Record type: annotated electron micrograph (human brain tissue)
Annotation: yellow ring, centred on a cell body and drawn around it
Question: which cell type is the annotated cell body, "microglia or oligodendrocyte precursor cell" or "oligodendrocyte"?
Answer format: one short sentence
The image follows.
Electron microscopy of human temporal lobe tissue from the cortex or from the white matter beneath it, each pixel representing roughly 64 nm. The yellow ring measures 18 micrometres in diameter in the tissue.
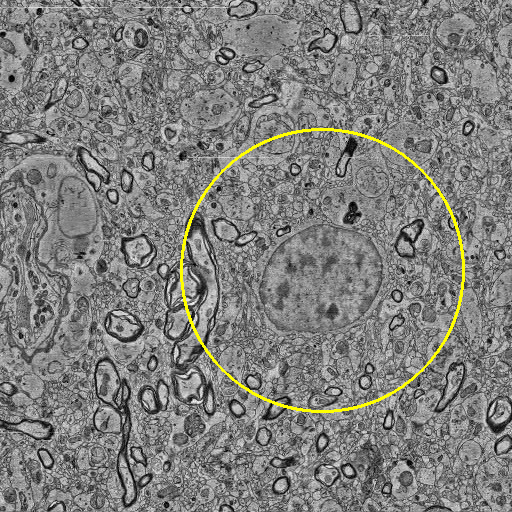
The annotated cell body is that of an oligodendrocyte.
